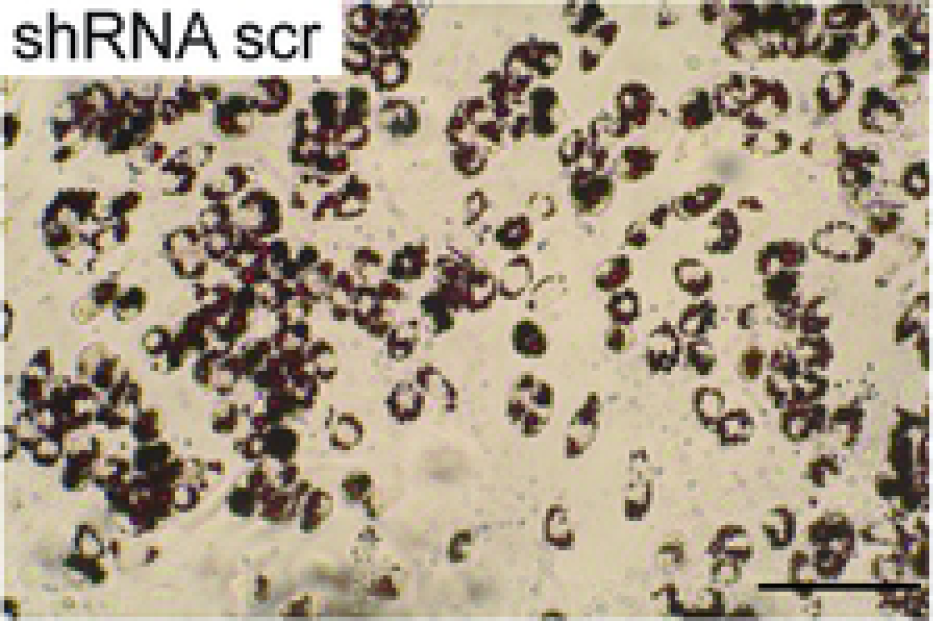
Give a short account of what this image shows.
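A dense field of cultured cells undergoing fat-cell differentiation, most of them rounded and crowded together. Their cytoplasm is filled with many small droplets that take up the red dye, appearing red to nearly black where they are packed. Some rounded cells show a clear ring-like outline with fewer stained droplets inside.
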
